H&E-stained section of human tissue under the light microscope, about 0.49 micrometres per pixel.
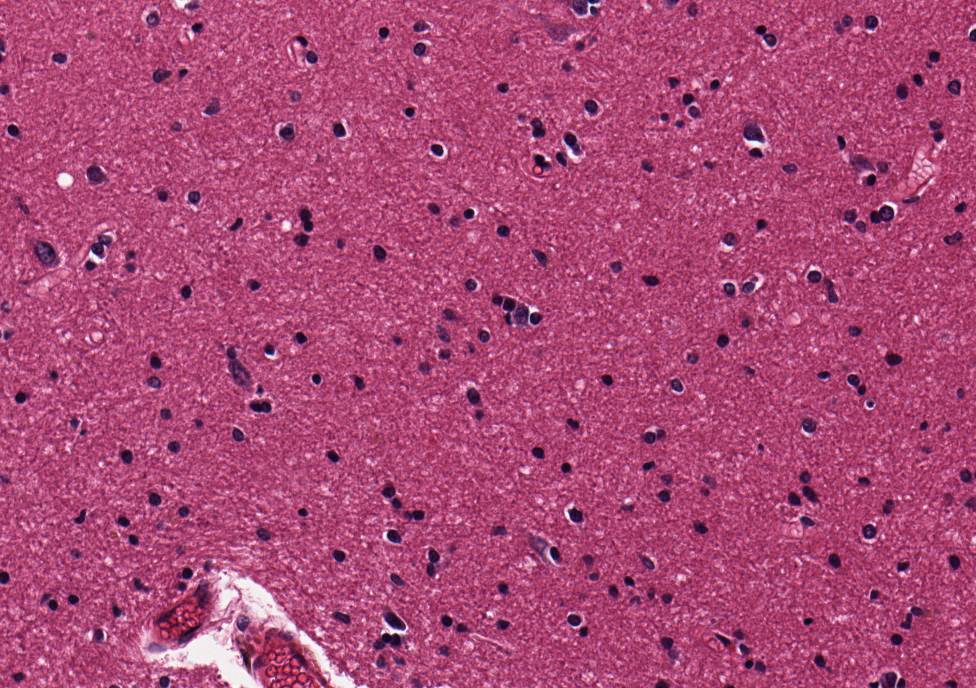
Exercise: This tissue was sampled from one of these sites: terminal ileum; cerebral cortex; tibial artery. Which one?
cerebral cortex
